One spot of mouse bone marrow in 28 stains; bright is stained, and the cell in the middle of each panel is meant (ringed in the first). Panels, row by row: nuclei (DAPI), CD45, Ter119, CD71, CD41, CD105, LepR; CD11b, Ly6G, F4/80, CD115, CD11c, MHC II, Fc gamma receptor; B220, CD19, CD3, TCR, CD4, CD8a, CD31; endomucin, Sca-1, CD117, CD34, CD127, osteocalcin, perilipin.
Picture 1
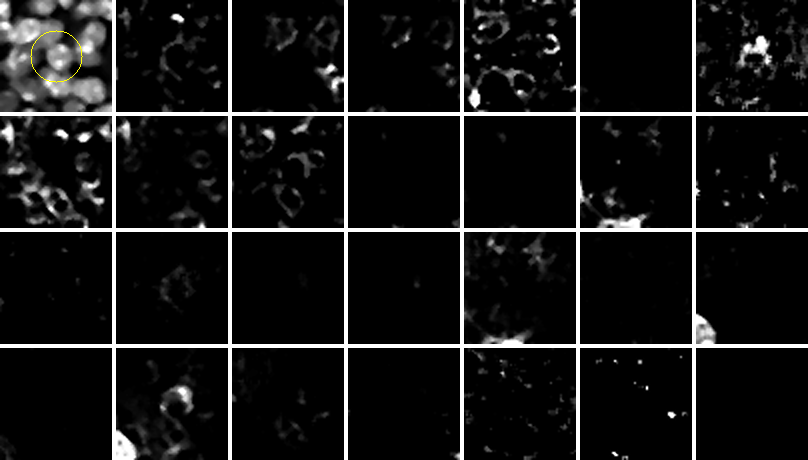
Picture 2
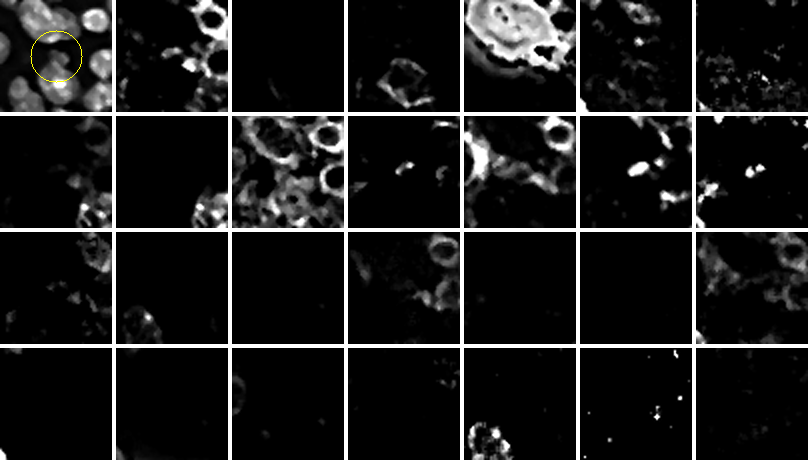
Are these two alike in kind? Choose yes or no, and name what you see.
No. First a LepR-positive perivascular cell, second a conventional dendritic cell.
